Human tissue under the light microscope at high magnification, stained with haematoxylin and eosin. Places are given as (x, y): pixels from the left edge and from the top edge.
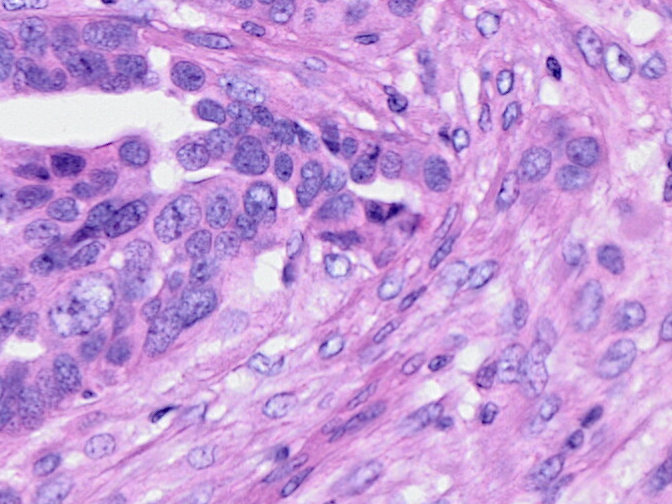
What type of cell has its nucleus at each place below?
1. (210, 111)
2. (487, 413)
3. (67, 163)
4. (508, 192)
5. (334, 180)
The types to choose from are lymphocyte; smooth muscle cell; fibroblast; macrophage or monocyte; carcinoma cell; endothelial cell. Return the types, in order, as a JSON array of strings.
["carcinoma cell", "macrophage or monocyte", "carcinoma cell", "fibroblast", "carcinoma cell"]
